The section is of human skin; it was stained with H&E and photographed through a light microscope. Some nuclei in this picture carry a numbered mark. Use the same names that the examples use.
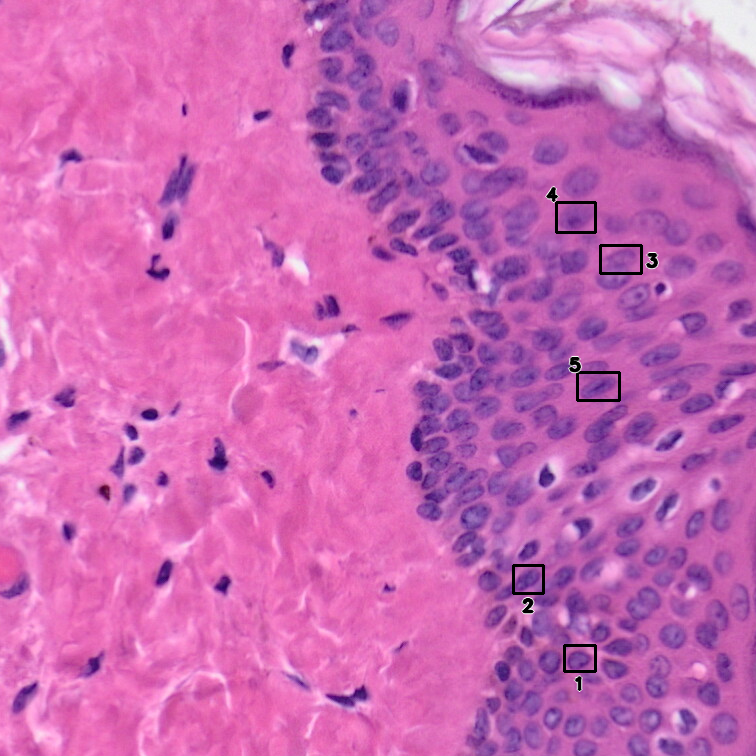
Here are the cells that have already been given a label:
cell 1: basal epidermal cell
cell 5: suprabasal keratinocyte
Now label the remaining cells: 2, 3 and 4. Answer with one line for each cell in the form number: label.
2: basal epidermal cell
3: suprabasal keratinocyte
4: suprabasal keratinocyte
